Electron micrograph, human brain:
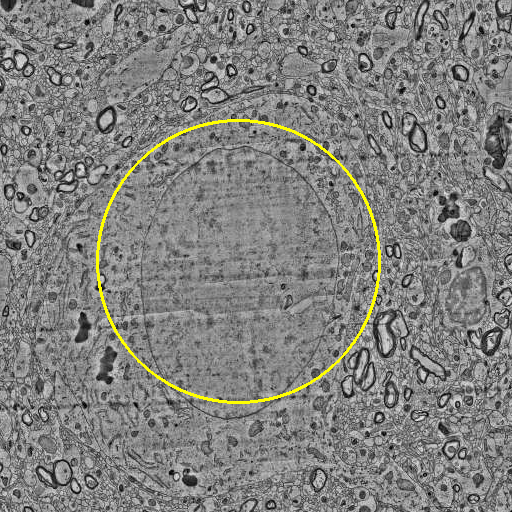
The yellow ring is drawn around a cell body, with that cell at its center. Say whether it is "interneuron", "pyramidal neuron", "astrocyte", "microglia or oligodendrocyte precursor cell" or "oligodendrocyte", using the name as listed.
pyramidal neuron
